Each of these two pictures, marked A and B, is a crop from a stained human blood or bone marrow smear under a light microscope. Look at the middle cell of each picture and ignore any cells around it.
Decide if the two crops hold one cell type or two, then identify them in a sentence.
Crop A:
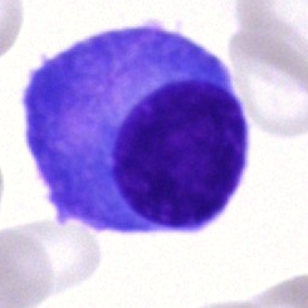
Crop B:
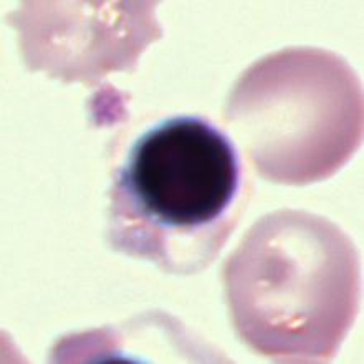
No, cell A is a plasma cell, and cell B is an erythroblast.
